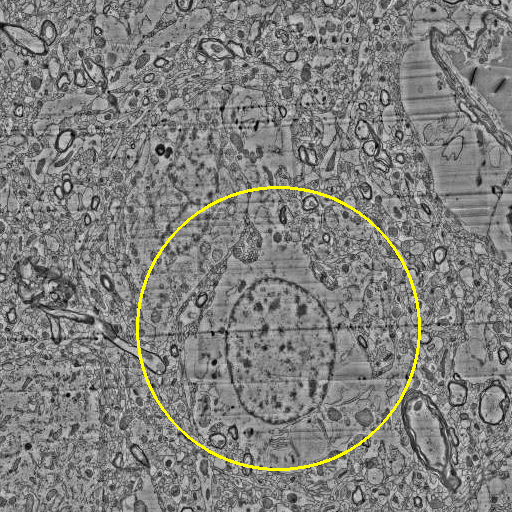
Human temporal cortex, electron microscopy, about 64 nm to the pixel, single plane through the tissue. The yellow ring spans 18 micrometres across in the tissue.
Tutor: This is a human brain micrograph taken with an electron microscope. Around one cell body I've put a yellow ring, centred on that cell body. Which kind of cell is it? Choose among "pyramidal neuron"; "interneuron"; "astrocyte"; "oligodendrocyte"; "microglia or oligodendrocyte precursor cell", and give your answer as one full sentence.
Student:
Going by your list, the cell centred in the yellow ring is an astrocyte.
